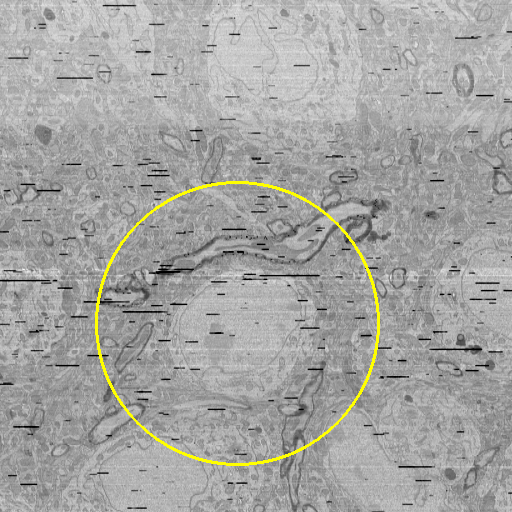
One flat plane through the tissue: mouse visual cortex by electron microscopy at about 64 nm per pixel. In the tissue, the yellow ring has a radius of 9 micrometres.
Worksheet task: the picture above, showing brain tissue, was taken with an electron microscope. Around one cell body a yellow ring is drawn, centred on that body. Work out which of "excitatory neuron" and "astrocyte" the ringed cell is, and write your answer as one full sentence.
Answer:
It is an excitatory neuron whose cell body lies at the centre of the yellow ring.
